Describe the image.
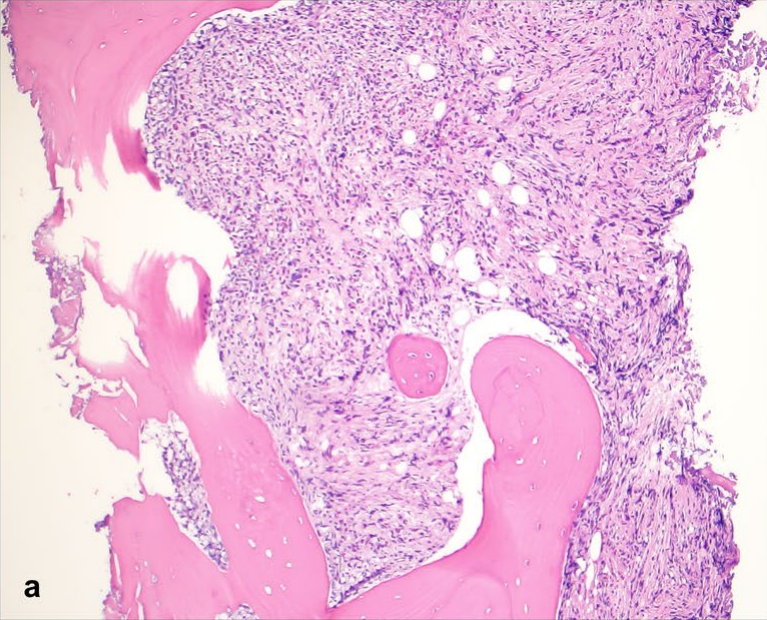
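This is a bone marrow core in which pink, lamellar bony trabeculae frame a marrow space that is densely filled with cells. Only a few small, round, clear fat spaces remain, so the cellularity is high. Many of the dark purple nuclei are elongated and spindle-shaped, and they are arranged in streaming, swirling bundles set in pale pink fibrillary material, rather than in the loose, mixed pattern of ordinary blood-forming marrow. A small island of bone lies within the cellular area. Together these features point to a hypercellular marrow with fibrosis.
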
